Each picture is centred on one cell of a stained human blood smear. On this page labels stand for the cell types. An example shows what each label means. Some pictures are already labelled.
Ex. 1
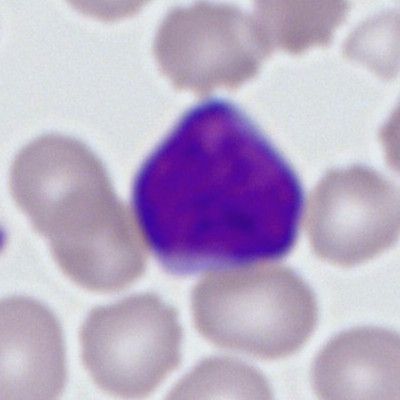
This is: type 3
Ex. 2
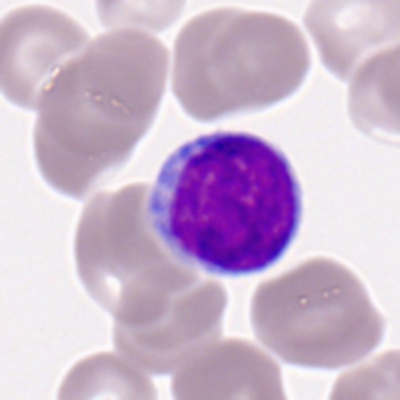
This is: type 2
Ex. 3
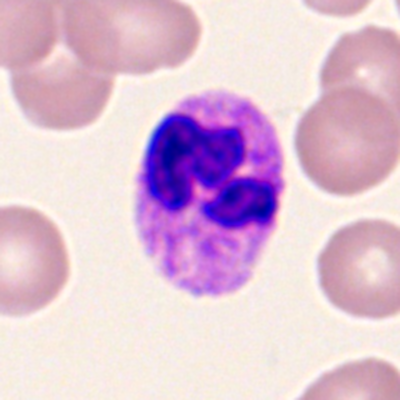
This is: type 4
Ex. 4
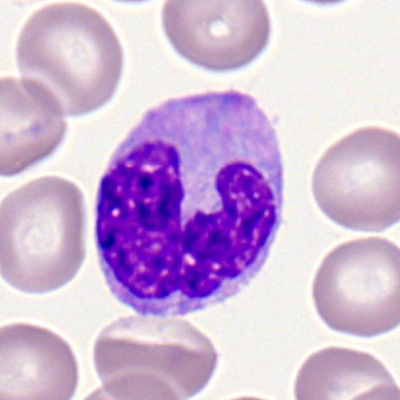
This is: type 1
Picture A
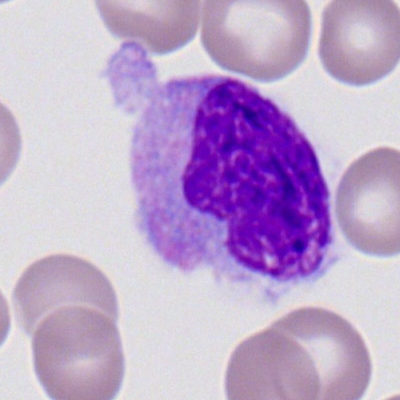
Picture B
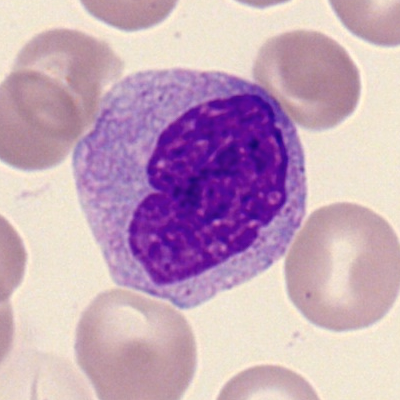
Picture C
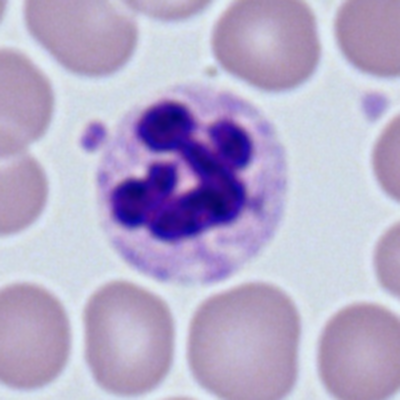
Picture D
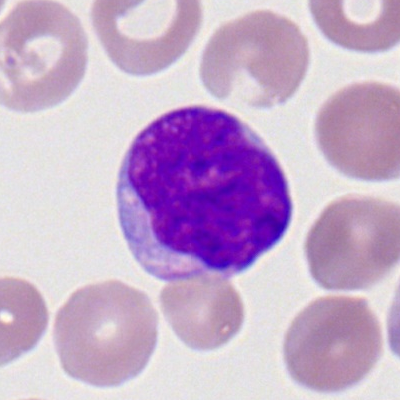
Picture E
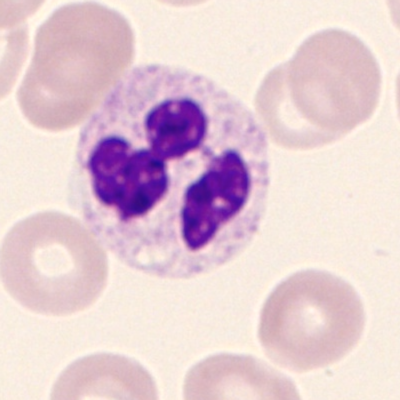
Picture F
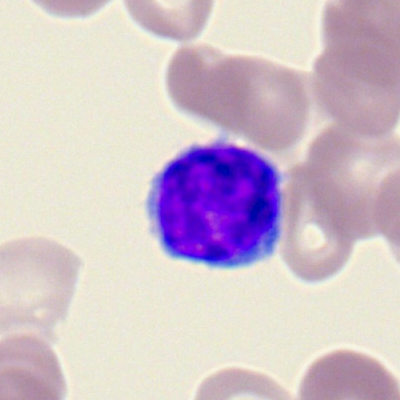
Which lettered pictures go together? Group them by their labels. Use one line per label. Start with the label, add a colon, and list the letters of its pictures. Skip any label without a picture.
type 3: D
type 2: F
type 4: C, E
type 1: A, B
